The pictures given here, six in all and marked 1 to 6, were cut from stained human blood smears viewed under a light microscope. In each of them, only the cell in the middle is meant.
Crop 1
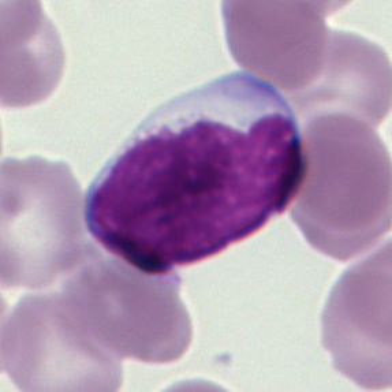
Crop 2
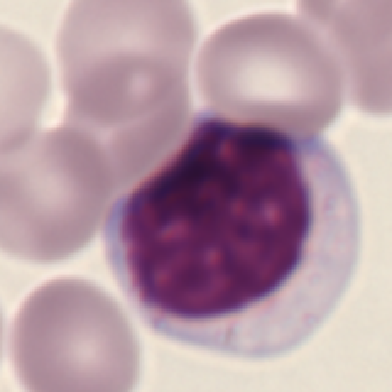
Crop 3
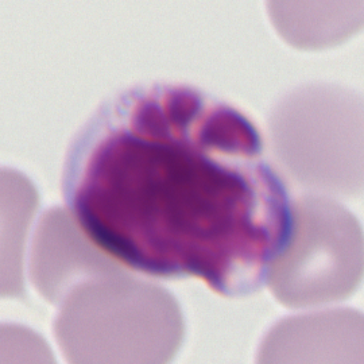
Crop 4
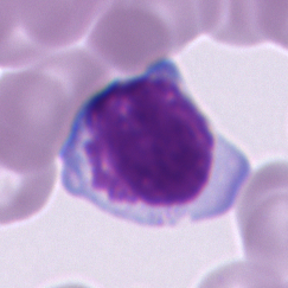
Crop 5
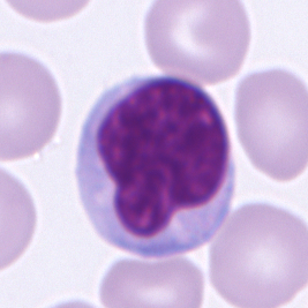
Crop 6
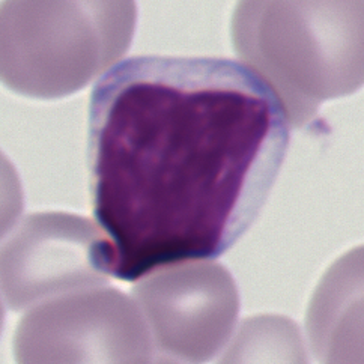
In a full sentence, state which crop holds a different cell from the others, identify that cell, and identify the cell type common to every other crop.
The crops all show large granular lymphocytes, with the exception of crop 5, which shows a typical lymphocyte.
